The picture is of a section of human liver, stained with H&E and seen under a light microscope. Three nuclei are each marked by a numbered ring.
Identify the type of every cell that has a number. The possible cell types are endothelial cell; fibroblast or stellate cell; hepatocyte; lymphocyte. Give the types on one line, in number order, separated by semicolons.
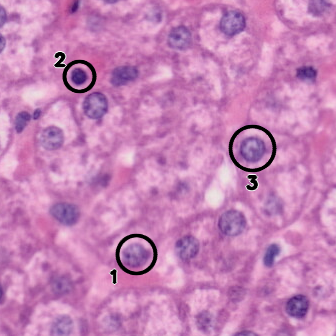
hepatocyte; lymphocyte; hepatocyte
